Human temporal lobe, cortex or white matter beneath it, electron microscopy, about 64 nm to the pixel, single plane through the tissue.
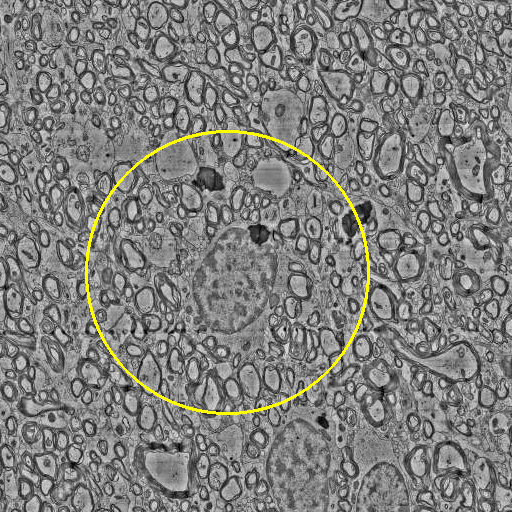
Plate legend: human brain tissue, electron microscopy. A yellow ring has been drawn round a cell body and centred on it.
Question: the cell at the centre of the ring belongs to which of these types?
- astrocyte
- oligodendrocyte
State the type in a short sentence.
The cell in the middle of the ring is an oligodendrocyte.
